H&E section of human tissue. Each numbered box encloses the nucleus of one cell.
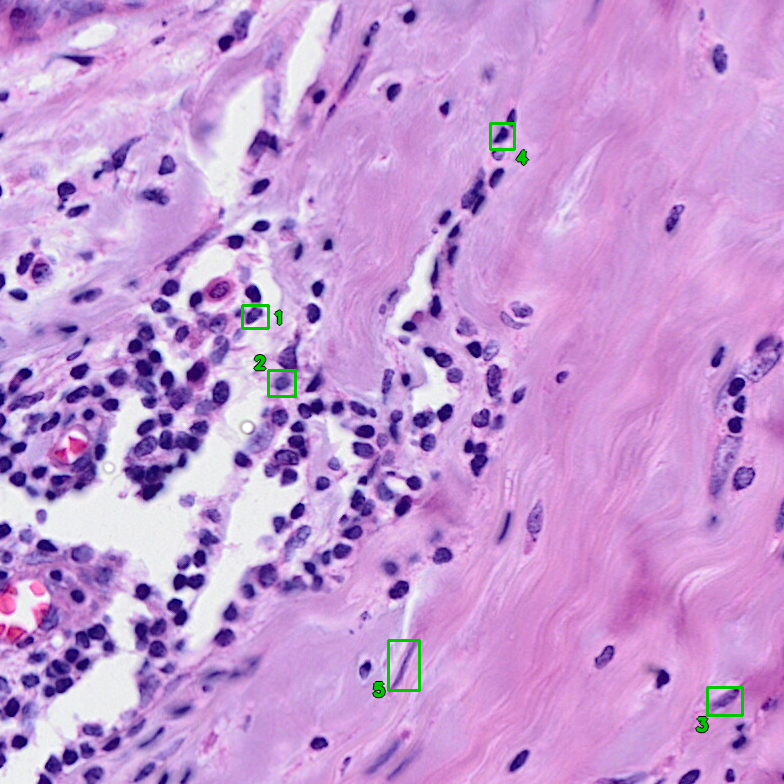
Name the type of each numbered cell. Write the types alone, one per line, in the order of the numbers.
lymphocyte
lymphocyte
fibroblast
lymphocyte
fibroblast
